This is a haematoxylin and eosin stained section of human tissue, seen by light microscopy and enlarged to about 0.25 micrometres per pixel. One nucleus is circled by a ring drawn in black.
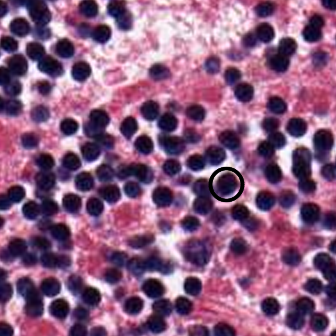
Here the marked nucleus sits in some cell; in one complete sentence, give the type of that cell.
The marked nucleus belongs, in this picture, to a cerebellar granule cell.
